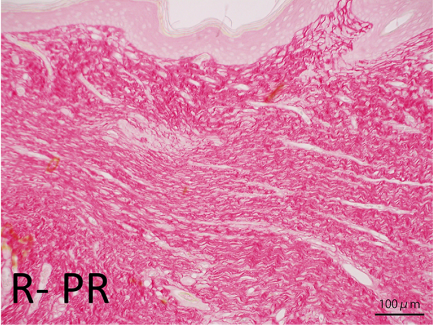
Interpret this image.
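Along the top edge runs a pale, faintly pink band of the surface layer, and directly under it the fibres are packed densely. Through the middle of the field the fibres gather into long, wavy bundles running roughly side to side, separated by narrow clear clefts and a few elongated empty spaces that look like small vessels or tissue gaps. Lower down the bundles become a more interwoven meshwork. Individual cells are hard to pick out; what the eye sees is the architecture of the red-stained fibre network.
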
